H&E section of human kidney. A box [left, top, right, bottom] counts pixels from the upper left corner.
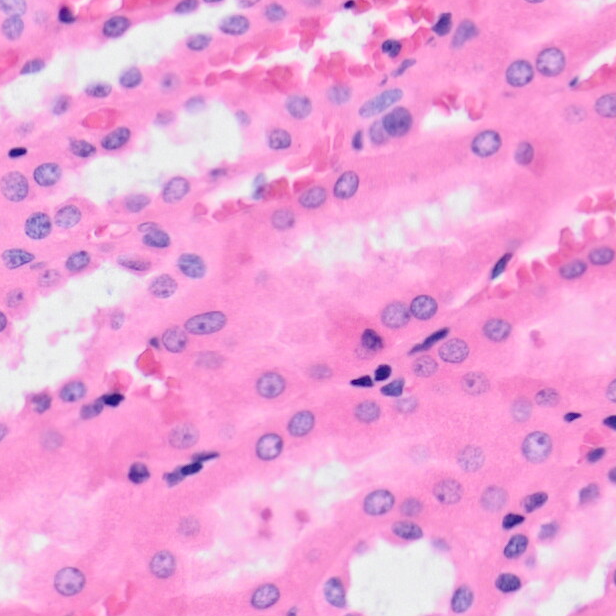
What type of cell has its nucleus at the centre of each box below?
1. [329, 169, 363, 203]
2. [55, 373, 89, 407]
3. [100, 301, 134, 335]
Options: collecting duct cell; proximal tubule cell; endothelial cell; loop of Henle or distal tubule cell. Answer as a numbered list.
1. proximal tubule cell
2. loop of Henle or distal tubule cell
3. loop of Henle or distal tubule cell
